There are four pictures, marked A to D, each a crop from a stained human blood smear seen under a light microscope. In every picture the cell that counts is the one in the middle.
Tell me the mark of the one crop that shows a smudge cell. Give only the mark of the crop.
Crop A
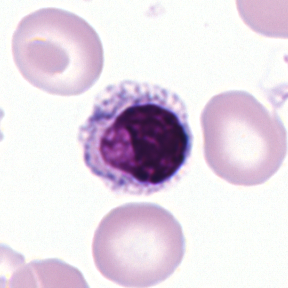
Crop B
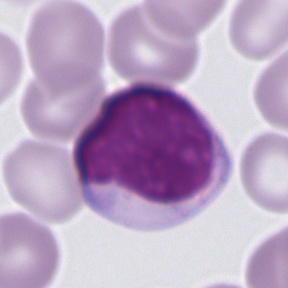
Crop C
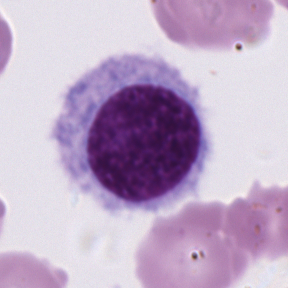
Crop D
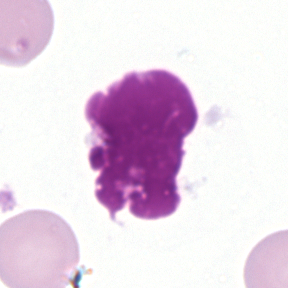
D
